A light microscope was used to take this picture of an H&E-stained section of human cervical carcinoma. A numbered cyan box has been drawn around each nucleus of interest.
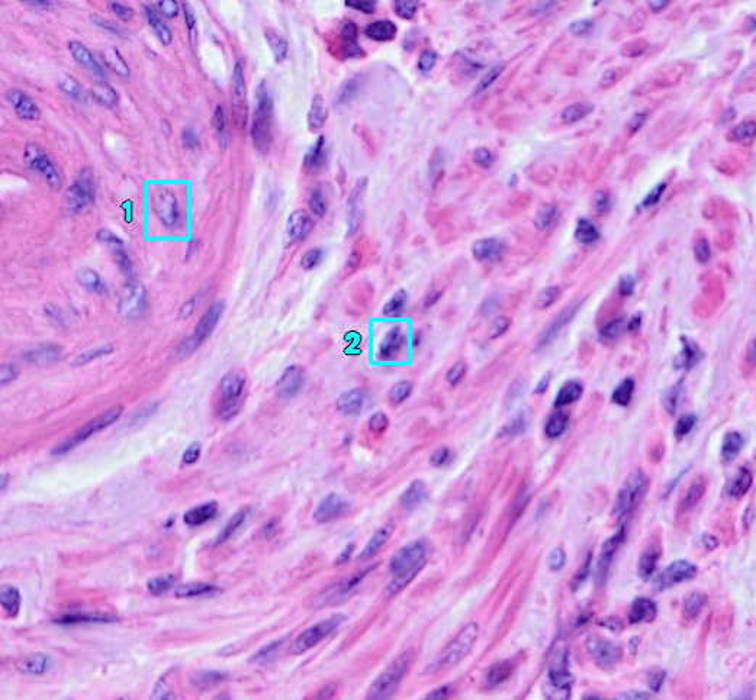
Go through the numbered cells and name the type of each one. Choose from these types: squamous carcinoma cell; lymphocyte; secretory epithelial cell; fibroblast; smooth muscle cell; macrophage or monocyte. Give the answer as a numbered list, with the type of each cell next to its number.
1. smooth muscle cell
2. lymphocyte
